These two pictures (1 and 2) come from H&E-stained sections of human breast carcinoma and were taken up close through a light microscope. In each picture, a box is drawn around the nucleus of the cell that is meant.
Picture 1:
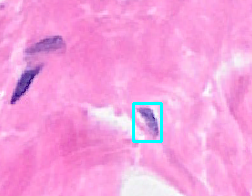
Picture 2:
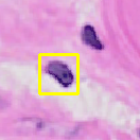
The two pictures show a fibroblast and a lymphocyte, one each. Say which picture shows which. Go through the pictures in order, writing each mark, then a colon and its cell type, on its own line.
1: fibroblast
2: lymphocyte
